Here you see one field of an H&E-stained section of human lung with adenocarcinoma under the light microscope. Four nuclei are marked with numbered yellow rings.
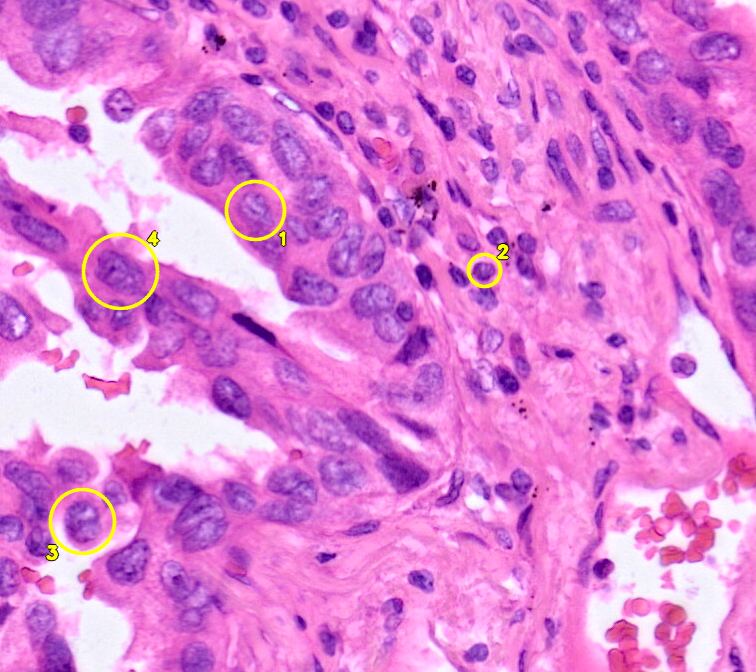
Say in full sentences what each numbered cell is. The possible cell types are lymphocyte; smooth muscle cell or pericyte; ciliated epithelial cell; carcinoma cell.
Cells 1, 3 and 4 are carcinoma cells. Cell 2 is a lymphocyte.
